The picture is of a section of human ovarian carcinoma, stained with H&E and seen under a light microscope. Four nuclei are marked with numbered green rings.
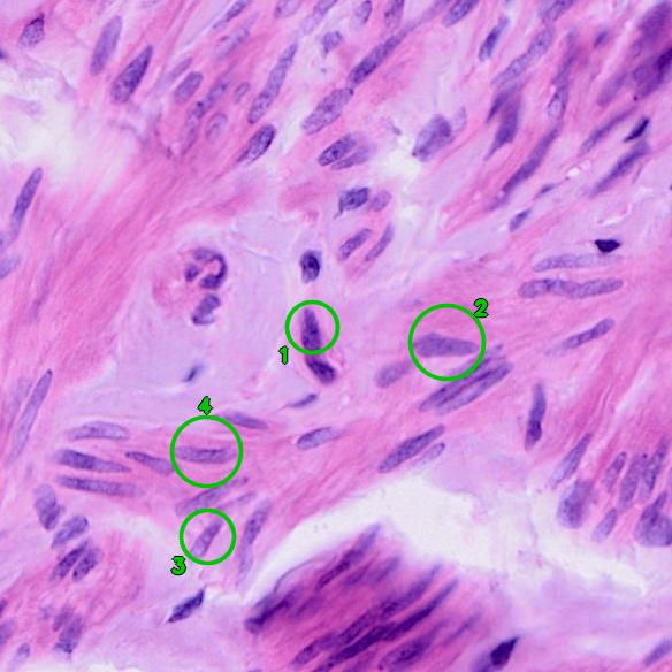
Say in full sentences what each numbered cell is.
Cell 1 is an endothelial cell. Cells 2, 3 and 4 are smooth muscle cells.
